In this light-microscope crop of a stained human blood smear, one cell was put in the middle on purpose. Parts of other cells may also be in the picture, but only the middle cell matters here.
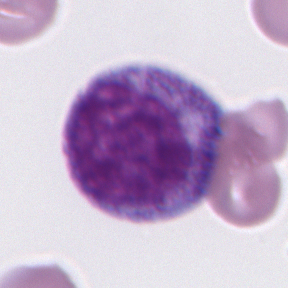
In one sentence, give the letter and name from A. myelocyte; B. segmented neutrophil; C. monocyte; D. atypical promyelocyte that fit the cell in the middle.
Option A is the correct selection, for the cell at the centre is a myelocyte.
